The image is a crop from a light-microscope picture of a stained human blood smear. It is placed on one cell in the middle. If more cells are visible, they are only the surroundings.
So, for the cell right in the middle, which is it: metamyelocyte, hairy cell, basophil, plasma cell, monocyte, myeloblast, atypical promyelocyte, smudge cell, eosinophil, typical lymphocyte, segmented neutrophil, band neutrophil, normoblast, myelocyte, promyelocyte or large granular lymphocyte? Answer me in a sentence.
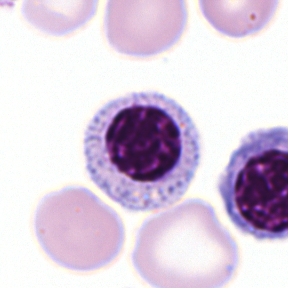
At the crop's centre, the cell is a normoblast.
